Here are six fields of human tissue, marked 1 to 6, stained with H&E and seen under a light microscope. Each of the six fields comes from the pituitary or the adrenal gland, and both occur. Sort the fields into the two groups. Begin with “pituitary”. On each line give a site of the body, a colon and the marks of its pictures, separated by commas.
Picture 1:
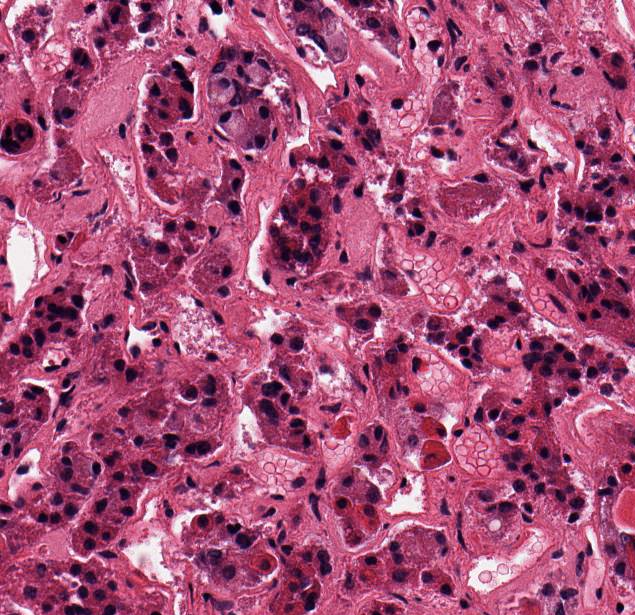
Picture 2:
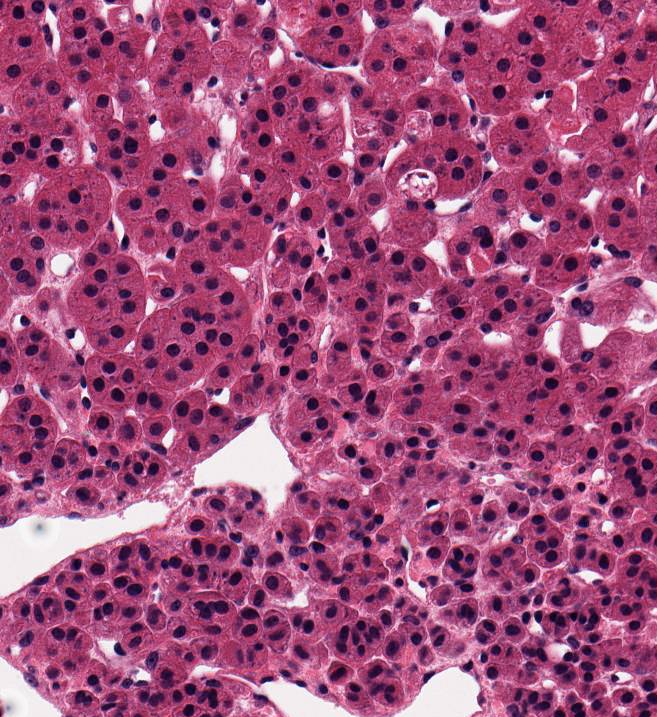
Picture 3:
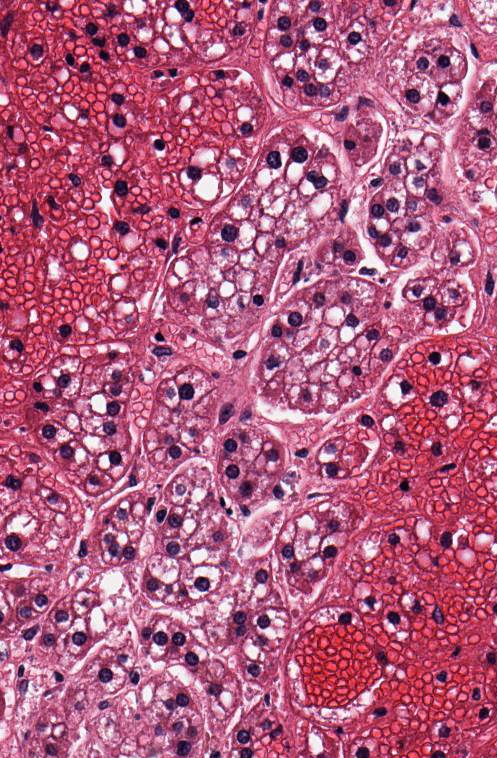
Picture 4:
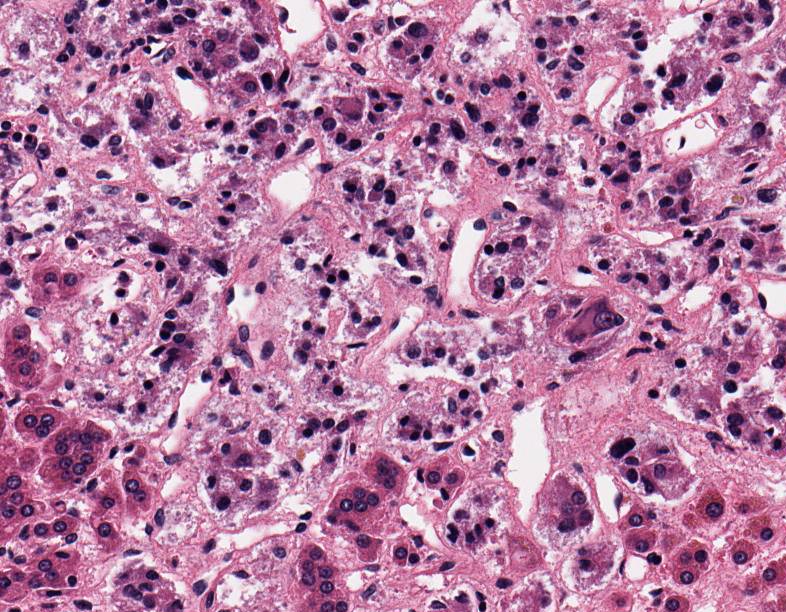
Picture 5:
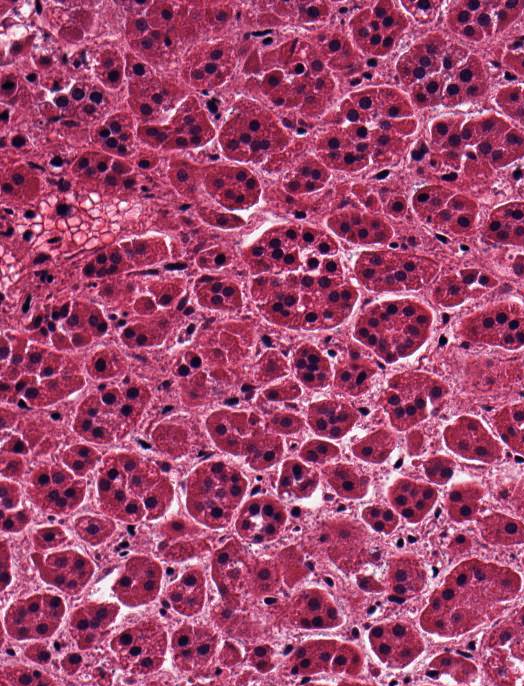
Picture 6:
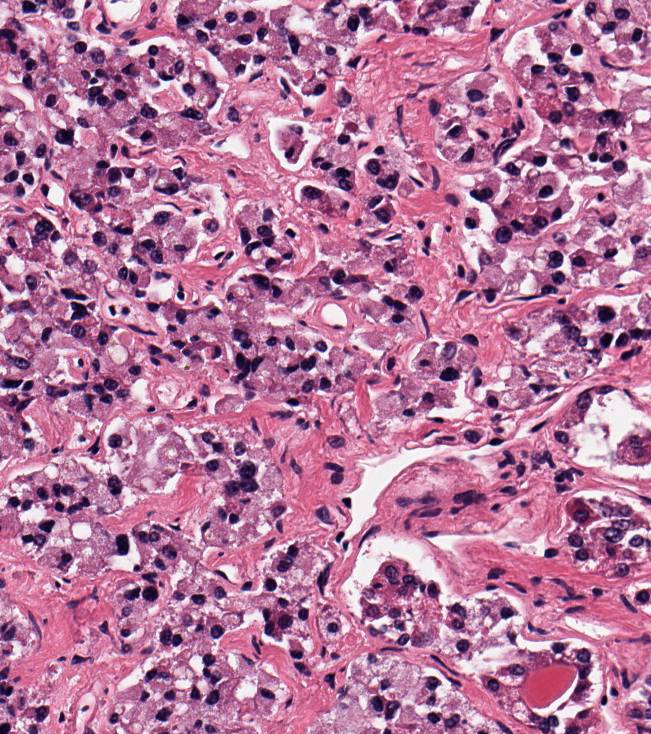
pituitary: 1, 6
adrenal gland: 2, 3, 4, 5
